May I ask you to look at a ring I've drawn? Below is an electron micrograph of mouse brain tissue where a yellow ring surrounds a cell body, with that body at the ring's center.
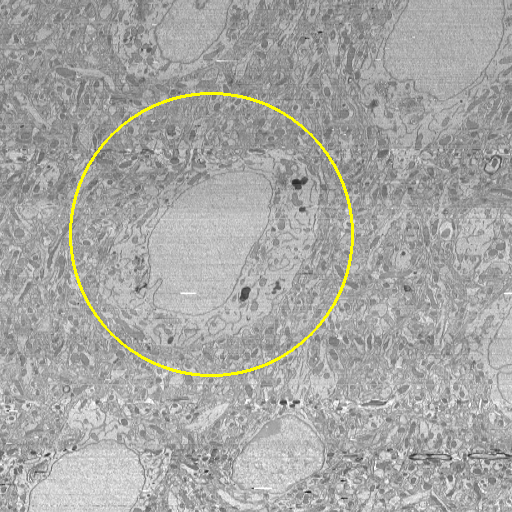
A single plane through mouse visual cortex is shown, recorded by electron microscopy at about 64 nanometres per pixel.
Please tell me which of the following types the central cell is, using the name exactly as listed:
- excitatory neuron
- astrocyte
excitatory neuron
